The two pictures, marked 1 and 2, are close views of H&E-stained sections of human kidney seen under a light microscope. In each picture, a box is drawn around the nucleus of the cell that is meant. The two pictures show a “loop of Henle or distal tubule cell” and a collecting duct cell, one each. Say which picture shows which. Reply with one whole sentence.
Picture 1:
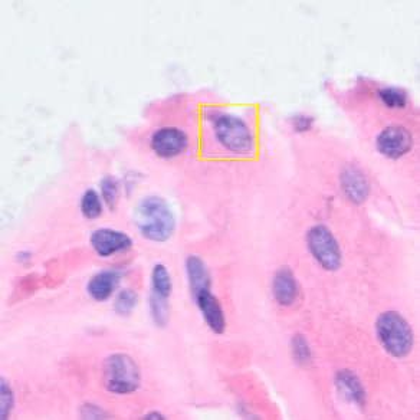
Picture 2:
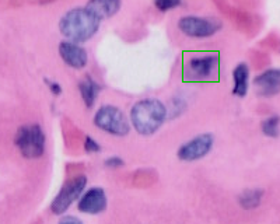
Picture 2 shows a collecting duct cell, while picture 1 shows a “loop of Henle or distal tubule cell”.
